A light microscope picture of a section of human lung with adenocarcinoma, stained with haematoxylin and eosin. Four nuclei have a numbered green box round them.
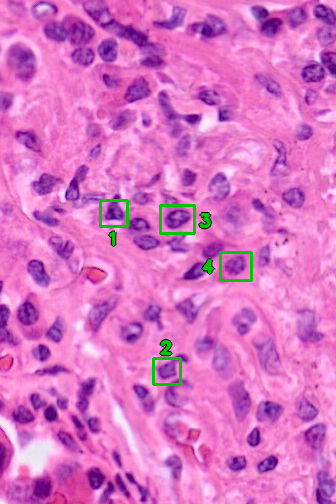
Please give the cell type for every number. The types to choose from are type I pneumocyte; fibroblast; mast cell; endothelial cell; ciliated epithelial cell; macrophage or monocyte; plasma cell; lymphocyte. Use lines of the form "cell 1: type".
cell 1: lymphocyte
cell 2: lymphocyte
cell 3: plasma cell
cell 4: plasma cell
